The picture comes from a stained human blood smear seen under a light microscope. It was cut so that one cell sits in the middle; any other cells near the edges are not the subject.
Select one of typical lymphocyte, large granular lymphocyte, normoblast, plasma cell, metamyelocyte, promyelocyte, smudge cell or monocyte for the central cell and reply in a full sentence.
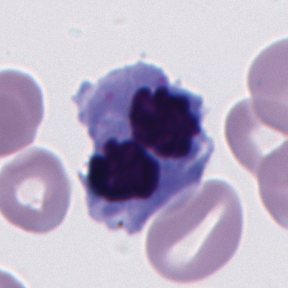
The cell at the centre of the field is a normoblast.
